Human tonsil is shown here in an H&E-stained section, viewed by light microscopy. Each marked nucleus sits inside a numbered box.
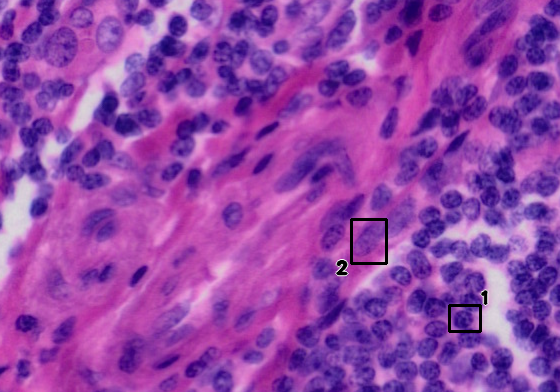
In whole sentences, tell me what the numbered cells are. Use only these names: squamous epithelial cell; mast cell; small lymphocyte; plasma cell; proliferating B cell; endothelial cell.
Cell 1 is a small lymphocyte and cell 2 is an endothelial cell.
